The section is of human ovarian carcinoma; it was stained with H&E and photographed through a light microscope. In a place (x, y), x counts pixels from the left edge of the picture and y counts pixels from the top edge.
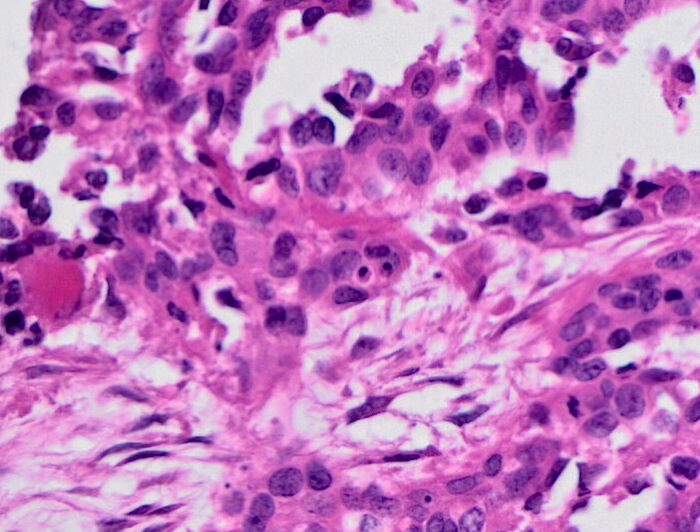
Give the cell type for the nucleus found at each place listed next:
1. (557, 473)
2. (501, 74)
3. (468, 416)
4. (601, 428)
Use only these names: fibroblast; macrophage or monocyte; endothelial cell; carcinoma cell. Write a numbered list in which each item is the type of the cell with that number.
1. carcinoma cell
2. carcinoma cell
3. fibroblast
4. carcinoma cell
